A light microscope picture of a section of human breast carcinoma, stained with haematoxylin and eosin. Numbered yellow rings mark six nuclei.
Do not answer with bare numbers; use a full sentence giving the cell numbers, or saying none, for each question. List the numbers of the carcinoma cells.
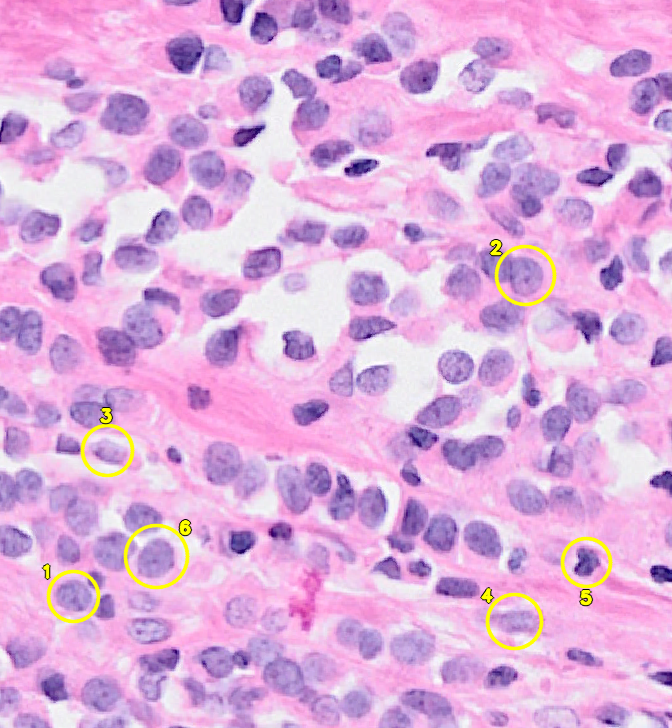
The cells given the numbers 1, 2, 3 and 6 are carcinoma cells.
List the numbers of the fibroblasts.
Whereas cell 4 is a fibroblast, the other numbered cells are not.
